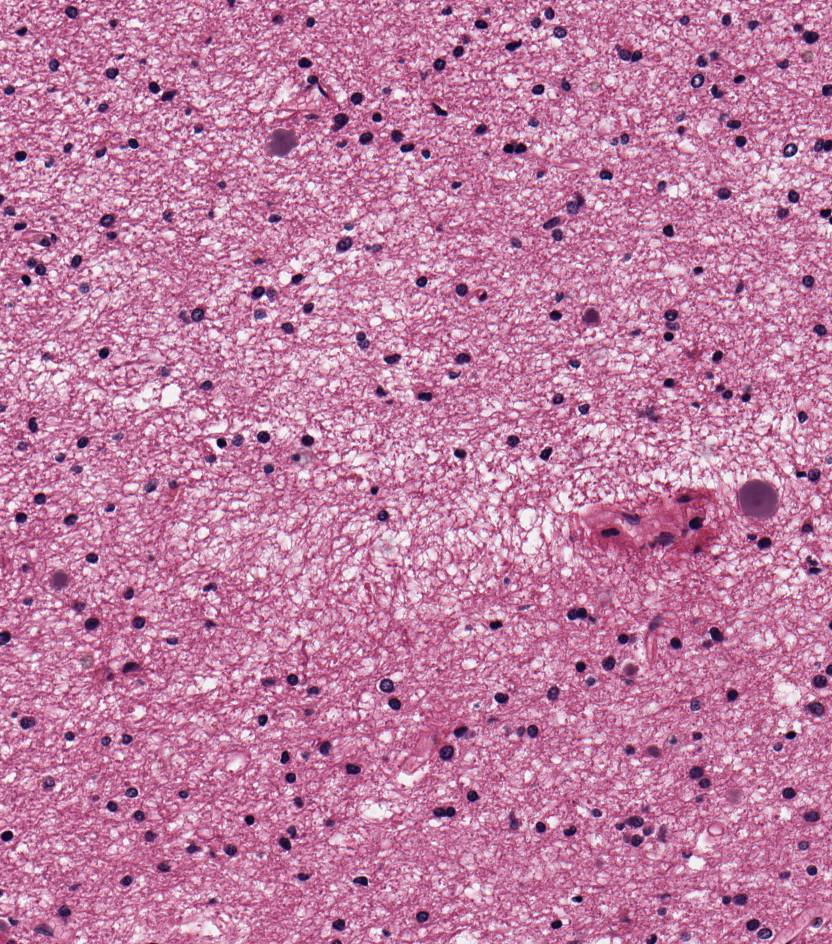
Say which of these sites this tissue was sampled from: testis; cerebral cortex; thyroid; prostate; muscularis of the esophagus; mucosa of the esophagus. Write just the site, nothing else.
cerebral cortex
